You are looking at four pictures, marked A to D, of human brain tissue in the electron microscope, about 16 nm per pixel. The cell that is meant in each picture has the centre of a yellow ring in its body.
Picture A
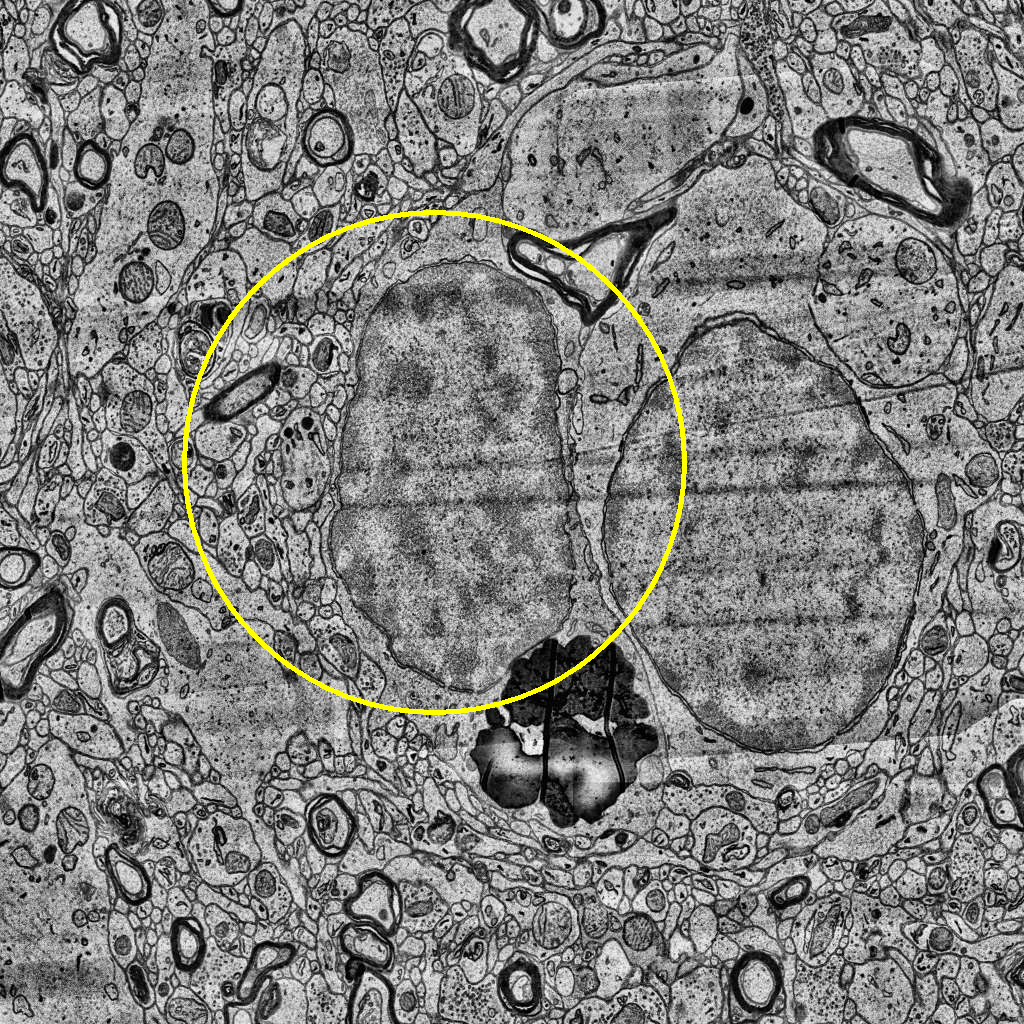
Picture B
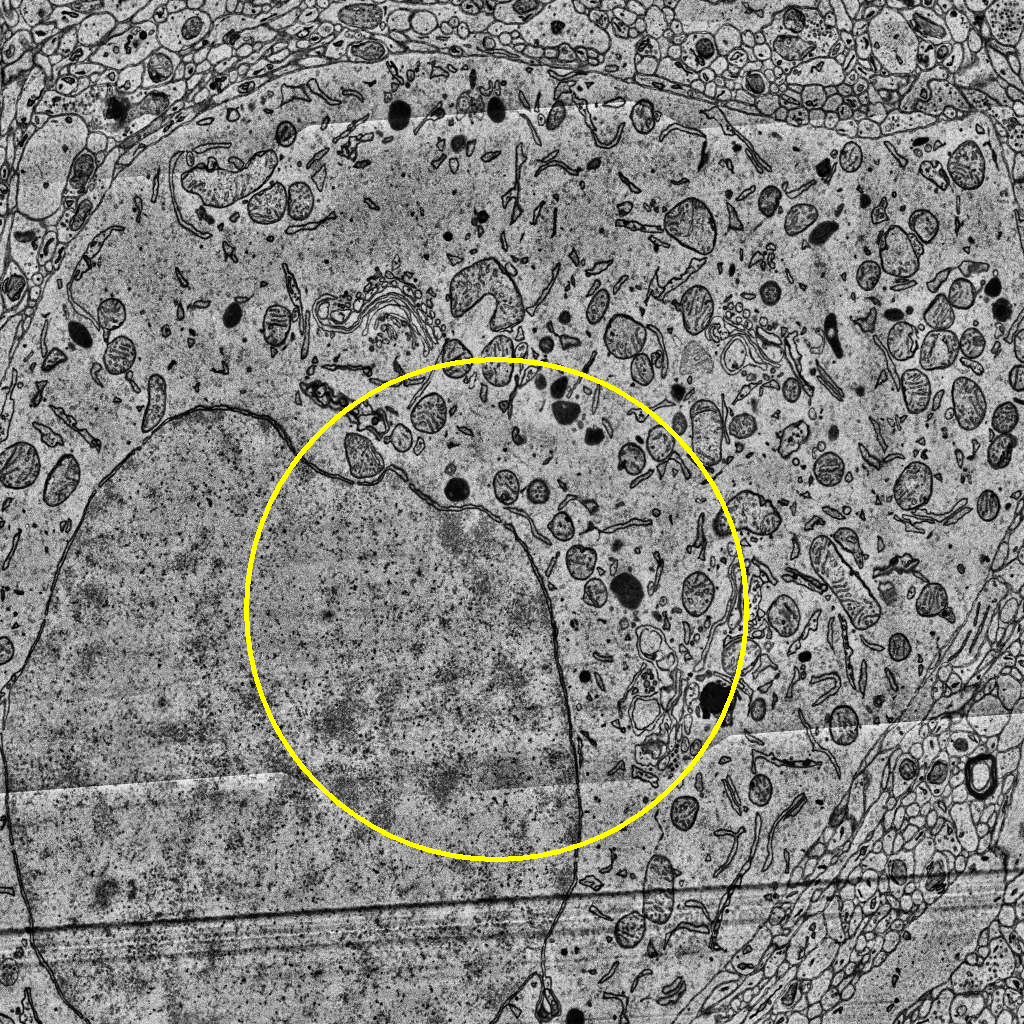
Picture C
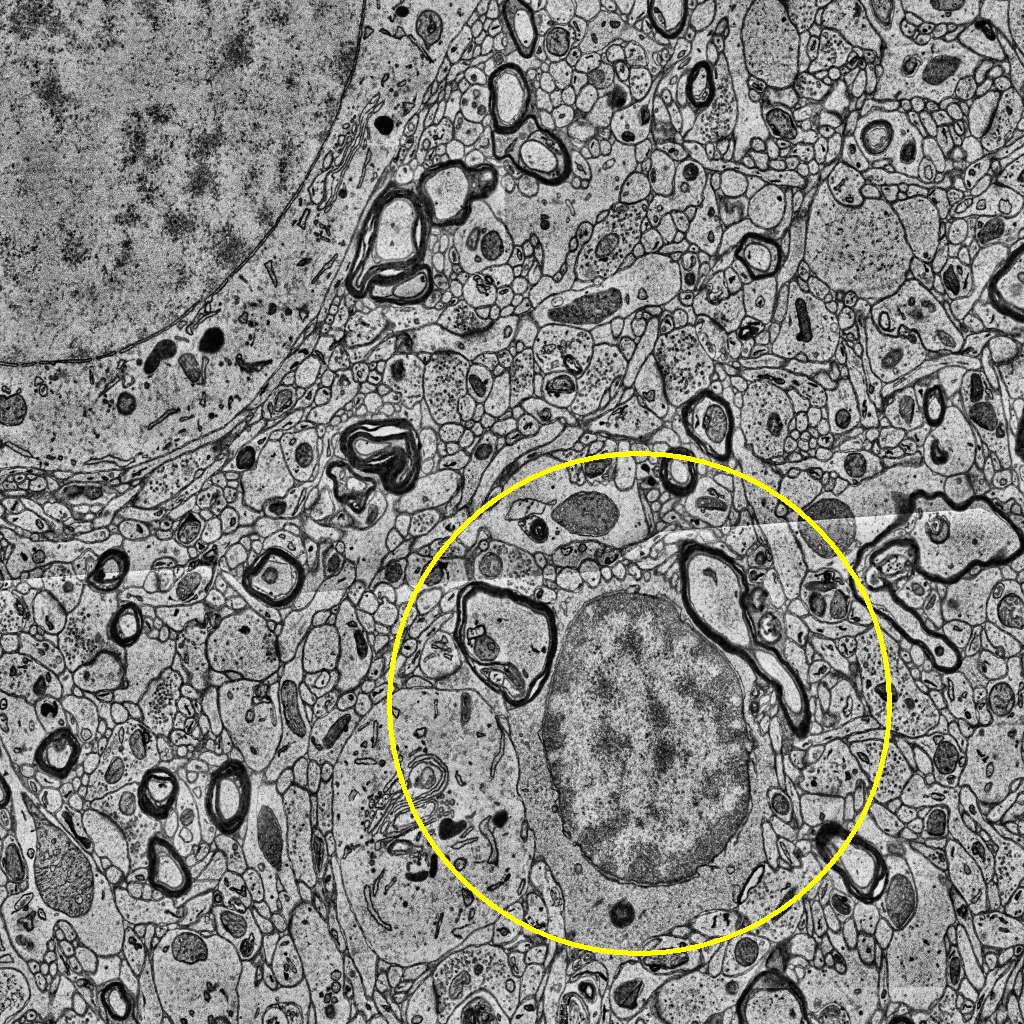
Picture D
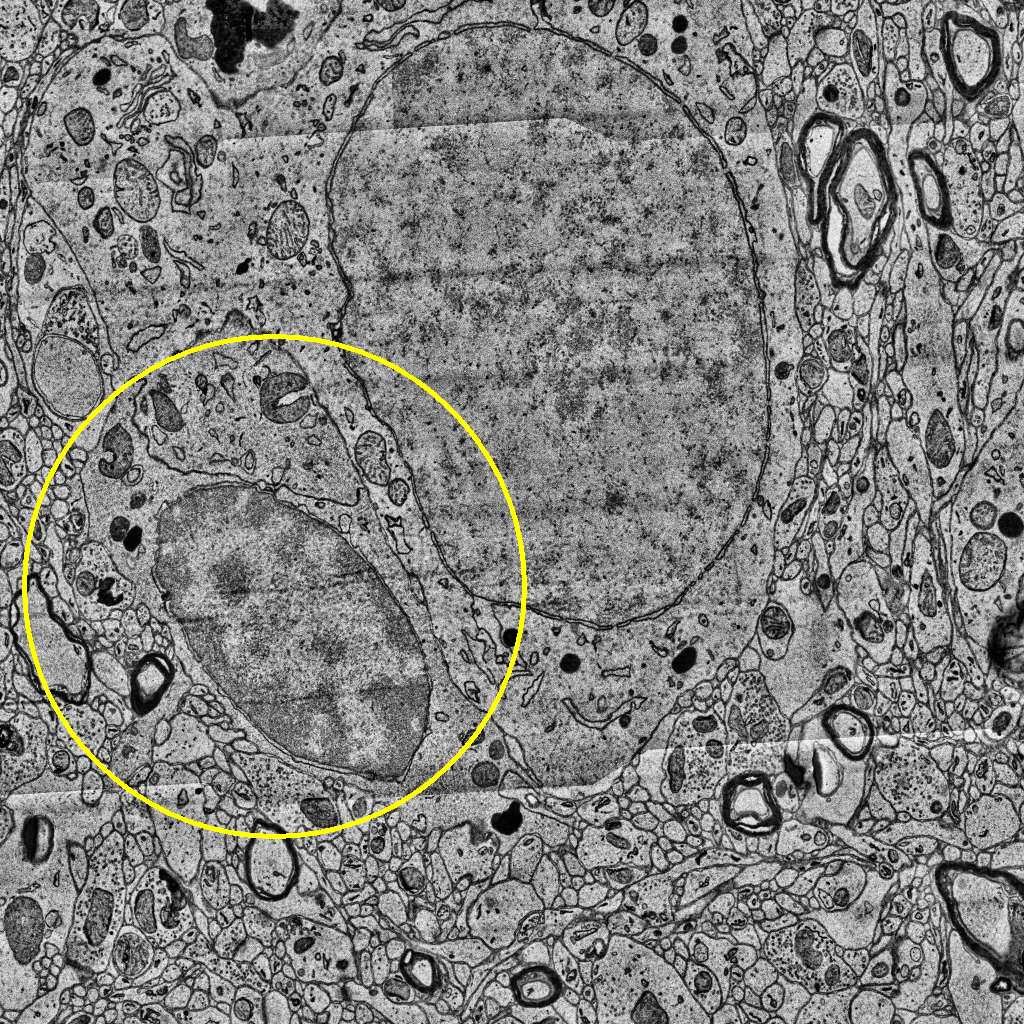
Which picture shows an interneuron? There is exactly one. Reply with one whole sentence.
The interneuron is the one in picture B.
